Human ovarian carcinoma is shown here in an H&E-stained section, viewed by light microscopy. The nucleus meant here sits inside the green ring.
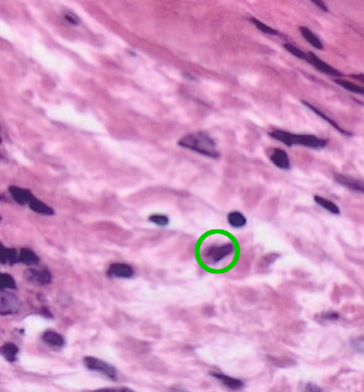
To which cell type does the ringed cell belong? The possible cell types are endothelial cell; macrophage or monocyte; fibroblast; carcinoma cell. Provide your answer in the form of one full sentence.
In this section, the ringed cell is a fibroblast.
